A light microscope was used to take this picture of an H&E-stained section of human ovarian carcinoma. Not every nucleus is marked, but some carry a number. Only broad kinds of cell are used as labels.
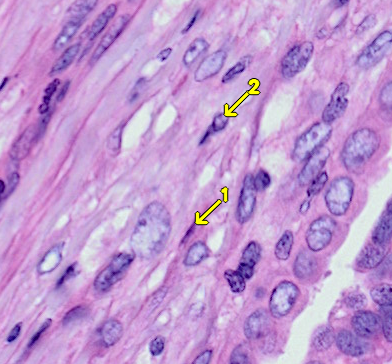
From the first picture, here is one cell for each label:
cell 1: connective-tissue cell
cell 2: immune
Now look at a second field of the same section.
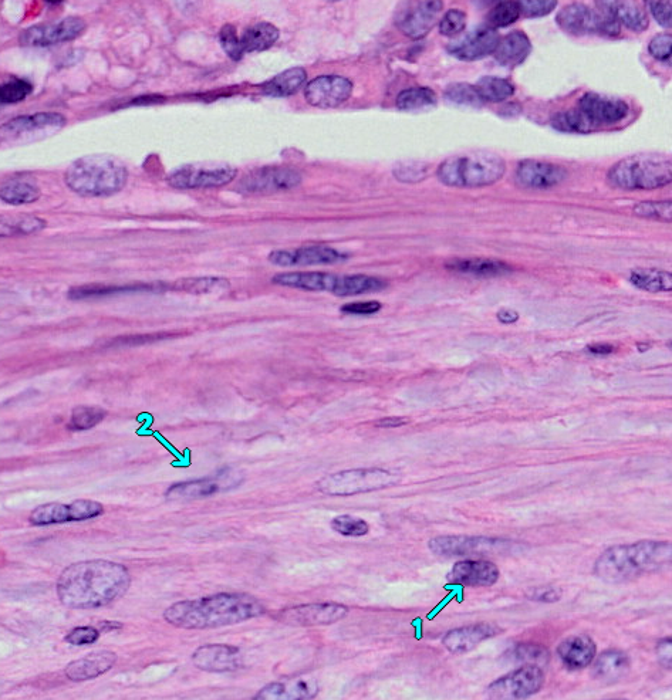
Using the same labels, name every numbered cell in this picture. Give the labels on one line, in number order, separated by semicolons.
immune; connective-tissue cell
